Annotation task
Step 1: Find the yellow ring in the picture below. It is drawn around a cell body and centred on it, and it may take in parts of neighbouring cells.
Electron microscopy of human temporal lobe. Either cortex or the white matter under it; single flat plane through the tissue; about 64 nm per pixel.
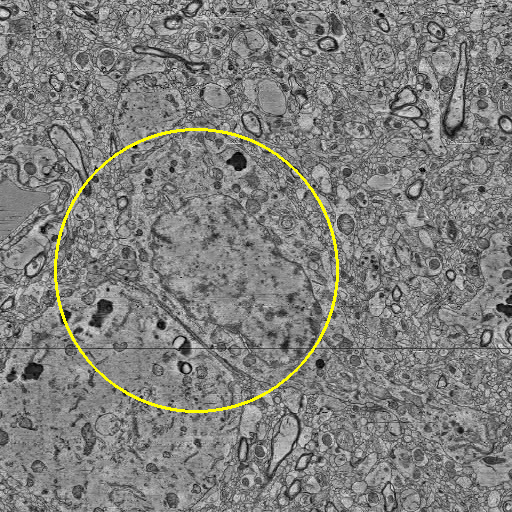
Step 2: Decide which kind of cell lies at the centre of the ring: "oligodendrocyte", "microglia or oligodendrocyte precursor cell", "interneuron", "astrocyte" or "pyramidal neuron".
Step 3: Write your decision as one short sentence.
The kind of cell at the ring's centre is an interneuron.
